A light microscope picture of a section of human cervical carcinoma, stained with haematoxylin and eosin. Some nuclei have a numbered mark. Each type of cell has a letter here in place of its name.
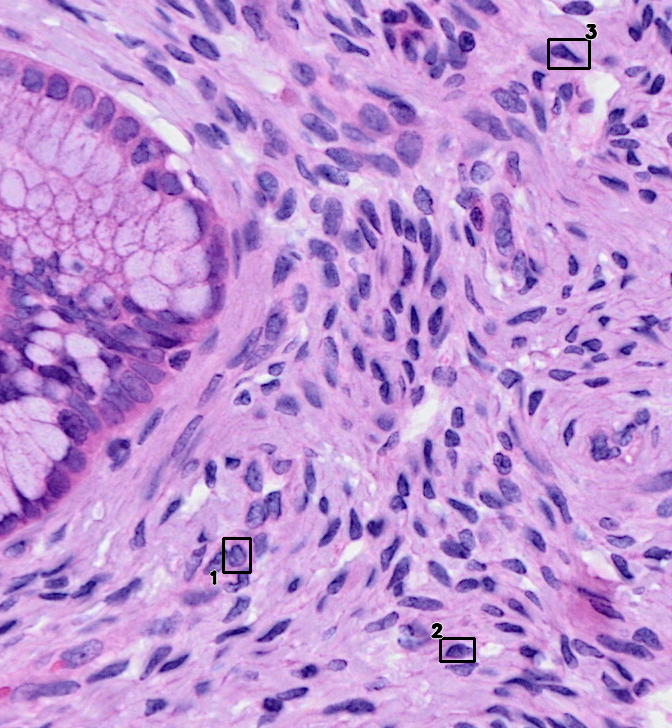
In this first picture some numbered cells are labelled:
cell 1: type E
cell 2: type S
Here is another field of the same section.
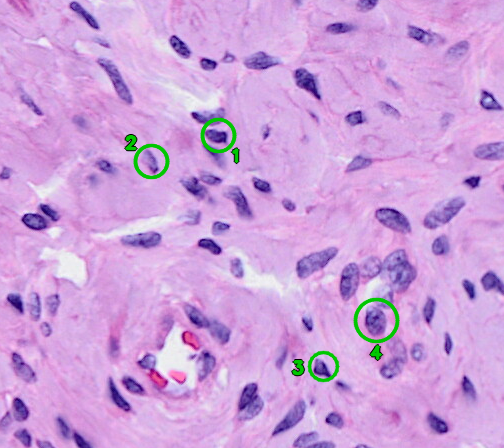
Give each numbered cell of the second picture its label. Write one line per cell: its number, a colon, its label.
1: type S
2: type S
3: type S
4: type E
